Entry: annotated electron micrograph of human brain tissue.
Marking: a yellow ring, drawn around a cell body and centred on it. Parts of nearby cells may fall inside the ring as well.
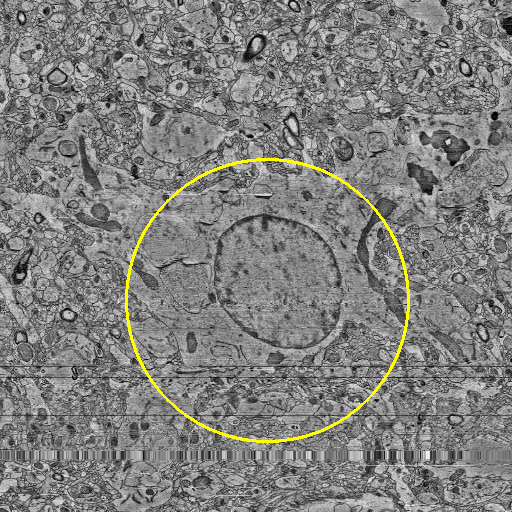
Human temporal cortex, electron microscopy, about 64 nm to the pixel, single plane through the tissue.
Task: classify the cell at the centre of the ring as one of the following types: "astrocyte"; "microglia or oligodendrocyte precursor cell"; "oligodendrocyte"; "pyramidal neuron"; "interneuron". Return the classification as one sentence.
The marked cell is classified as an astrocyte.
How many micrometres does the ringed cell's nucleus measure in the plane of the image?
The ringed cell's nucleus measures approximately 9 by 8 micrometres in this plane.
